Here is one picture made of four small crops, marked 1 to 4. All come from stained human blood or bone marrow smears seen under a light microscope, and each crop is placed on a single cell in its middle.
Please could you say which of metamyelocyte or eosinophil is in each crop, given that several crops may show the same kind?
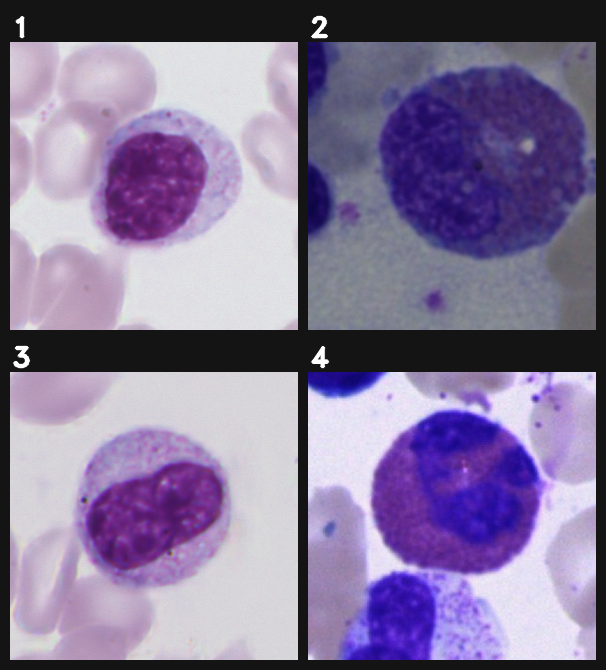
1: metamyelocyte
2: eosinophil
3: metamyelocyte
4: eosinophil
